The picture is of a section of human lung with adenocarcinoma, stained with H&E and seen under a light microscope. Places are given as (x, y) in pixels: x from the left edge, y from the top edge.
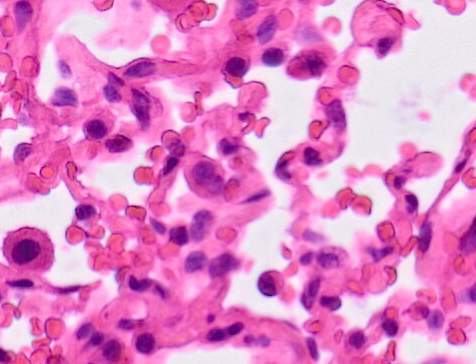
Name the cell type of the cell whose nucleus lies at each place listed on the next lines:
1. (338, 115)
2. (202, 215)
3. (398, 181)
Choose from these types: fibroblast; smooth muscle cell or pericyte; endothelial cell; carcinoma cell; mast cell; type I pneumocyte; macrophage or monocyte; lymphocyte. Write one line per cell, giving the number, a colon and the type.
1: type I pneumocyte
2: type I pneumocyte
3: endothelial cell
